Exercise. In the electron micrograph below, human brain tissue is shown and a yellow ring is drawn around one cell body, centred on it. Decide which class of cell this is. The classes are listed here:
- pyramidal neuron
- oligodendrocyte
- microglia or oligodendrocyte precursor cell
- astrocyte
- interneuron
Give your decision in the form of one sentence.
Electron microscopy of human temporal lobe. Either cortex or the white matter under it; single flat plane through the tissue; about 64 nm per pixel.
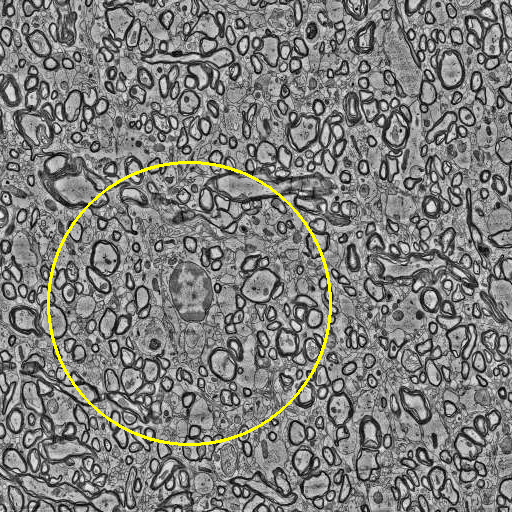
The cell body marked by the ring belongs to a microglial cell or oligodendrocyte precursor cell.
